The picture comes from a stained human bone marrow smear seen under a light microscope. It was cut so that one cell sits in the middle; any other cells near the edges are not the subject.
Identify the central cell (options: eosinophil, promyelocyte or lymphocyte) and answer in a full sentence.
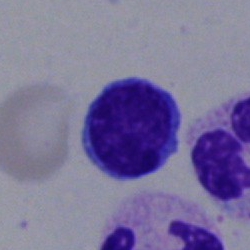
The cell at the centre of the field is a lymphocyte.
